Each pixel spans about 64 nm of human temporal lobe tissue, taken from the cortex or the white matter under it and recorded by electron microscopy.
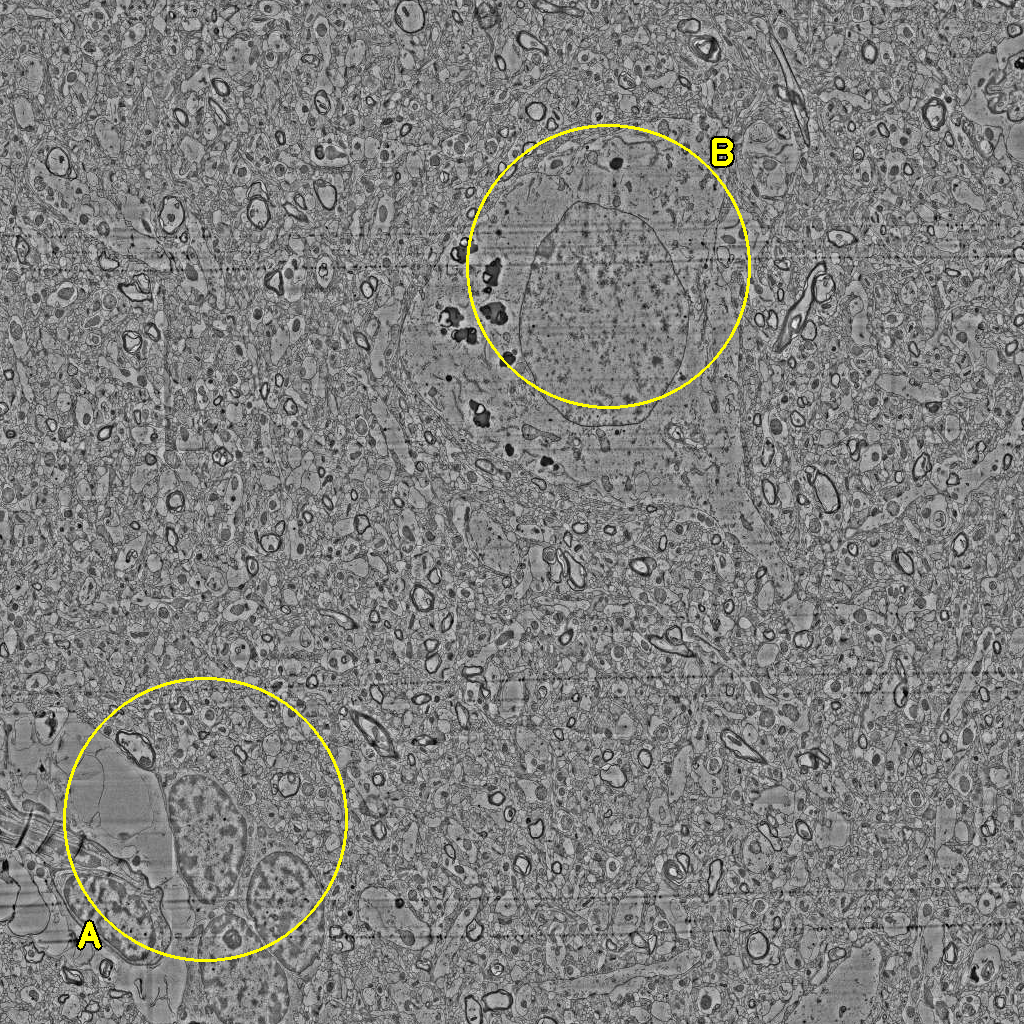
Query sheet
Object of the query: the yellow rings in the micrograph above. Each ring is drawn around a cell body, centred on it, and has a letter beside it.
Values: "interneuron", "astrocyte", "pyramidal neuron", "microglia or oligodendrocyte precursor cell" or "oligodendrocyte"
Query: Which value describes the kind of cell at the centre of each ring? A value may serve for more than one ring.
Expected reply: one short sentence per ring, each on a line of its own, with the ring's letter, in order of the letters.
I assign an oligodendrocyte to ring A.
I assign a pyramidal neuron to ring B.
